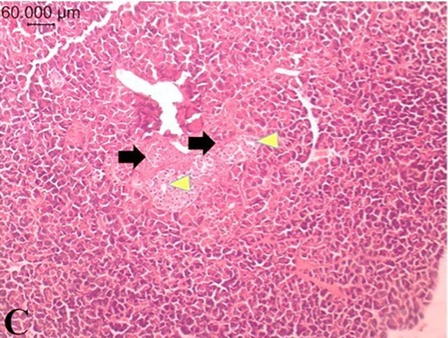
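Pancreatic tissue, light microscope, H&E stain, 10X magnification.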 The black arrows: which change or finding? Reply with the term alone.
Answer: islet atrophy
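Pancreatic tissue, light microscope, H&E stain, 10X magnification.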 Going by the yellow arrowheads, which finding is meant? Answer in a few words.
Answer: Destruction and vacuolation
